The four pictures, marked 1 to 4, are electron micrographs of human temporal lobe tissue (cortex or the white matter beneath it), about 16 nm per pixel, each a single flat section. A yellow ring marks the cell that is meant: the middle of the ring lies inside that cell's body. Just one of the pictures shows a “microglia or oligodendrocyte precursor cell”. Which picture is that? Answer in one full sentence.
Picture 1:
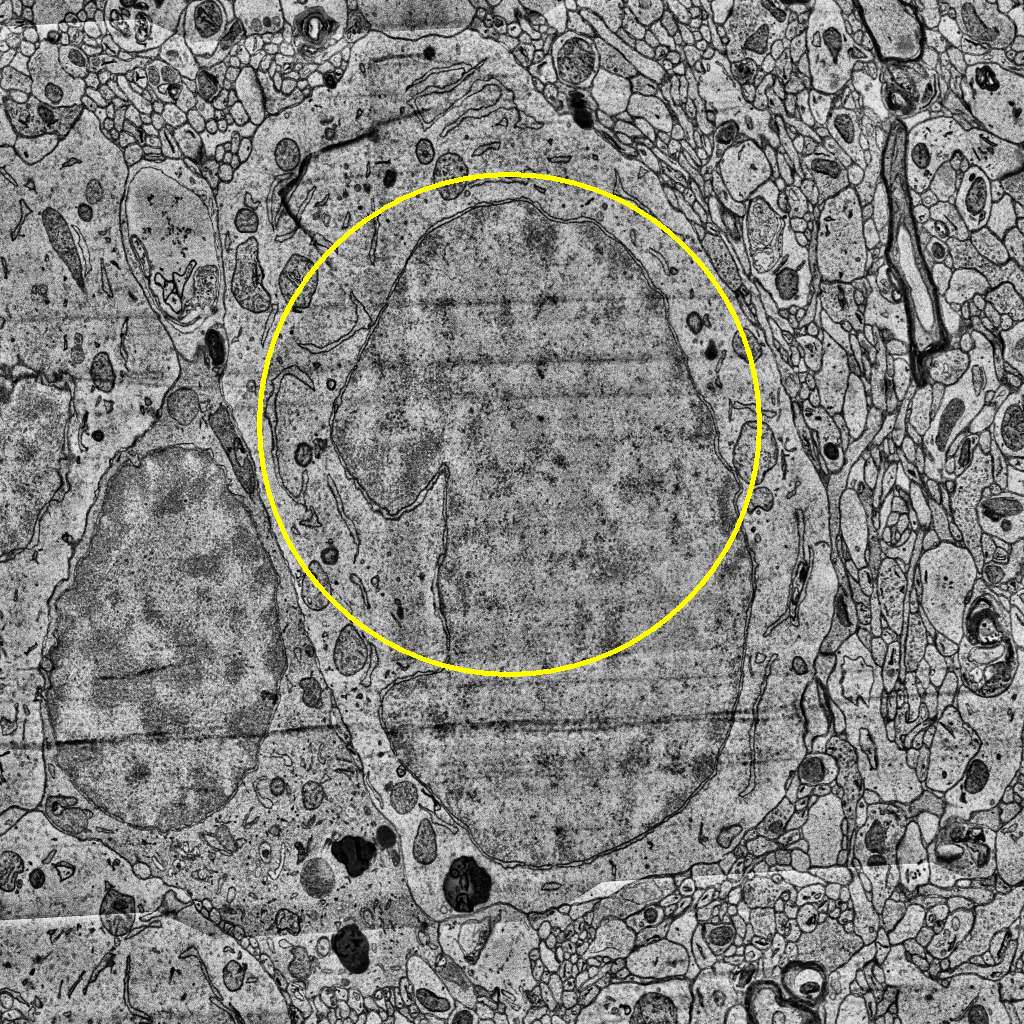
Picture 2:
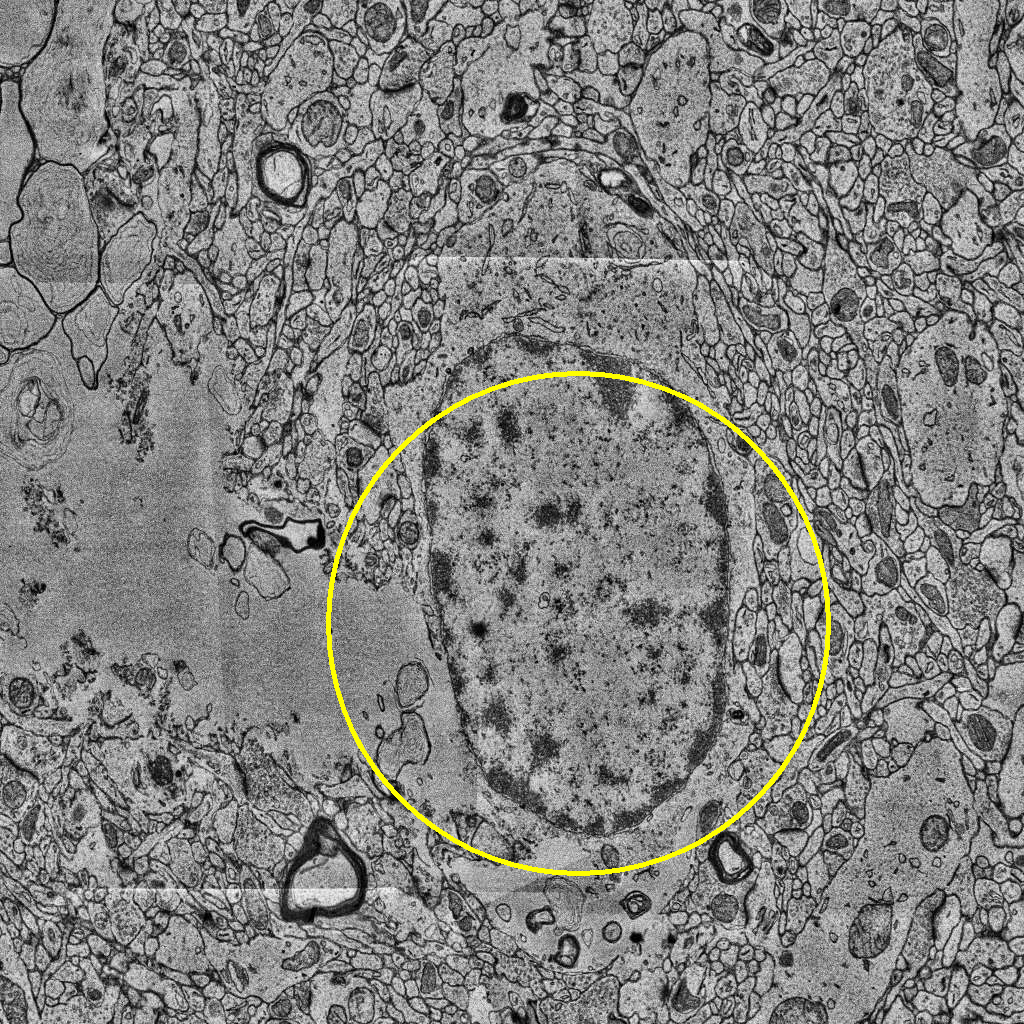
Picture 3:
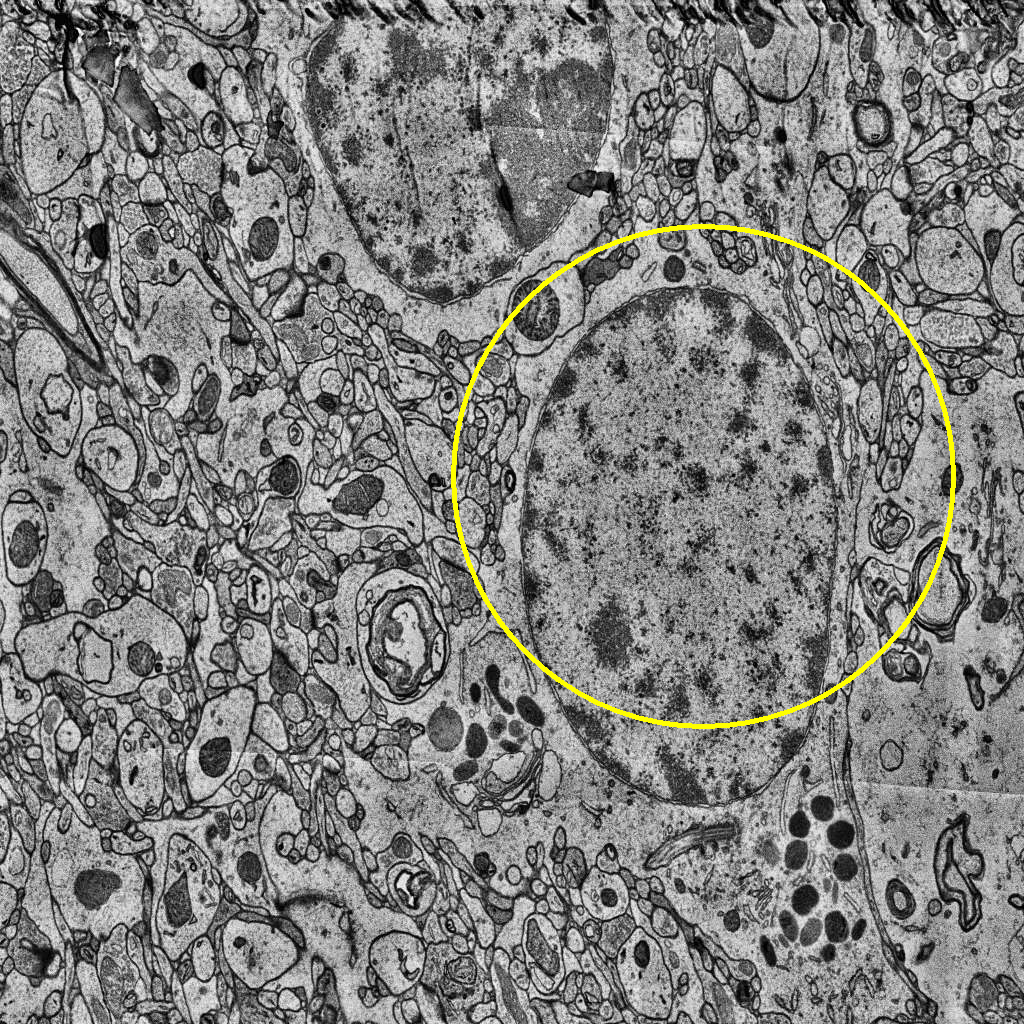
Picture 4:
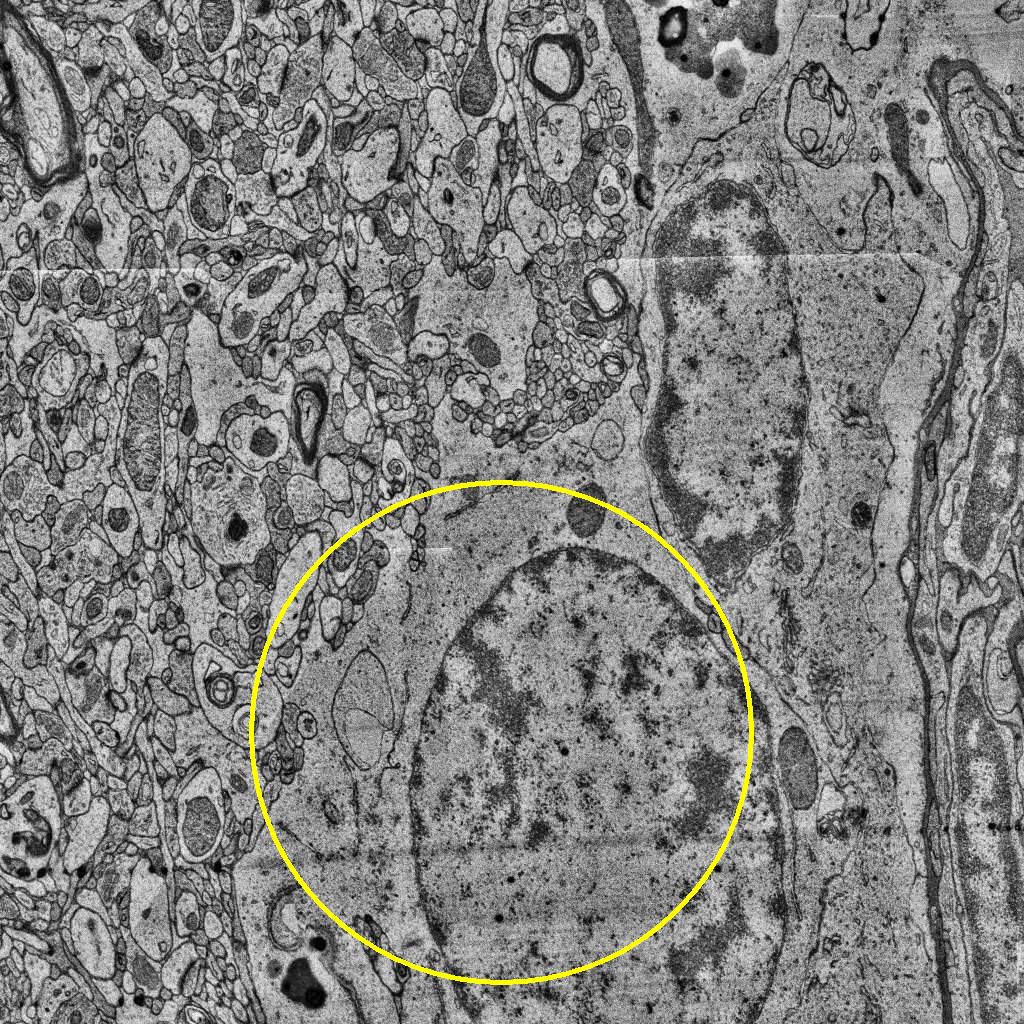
The cell in picture 2 is the “microglia or oligodendrocyte precursor cell”.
